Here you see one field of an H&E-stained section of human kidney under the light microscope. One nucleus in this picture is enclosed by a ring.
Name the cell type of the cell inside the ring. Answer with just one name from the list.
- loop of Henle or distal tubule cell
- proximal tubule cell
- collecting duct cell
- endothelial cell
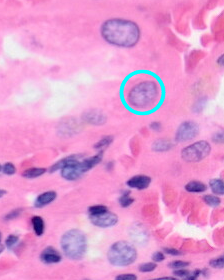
proximal tubule cell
